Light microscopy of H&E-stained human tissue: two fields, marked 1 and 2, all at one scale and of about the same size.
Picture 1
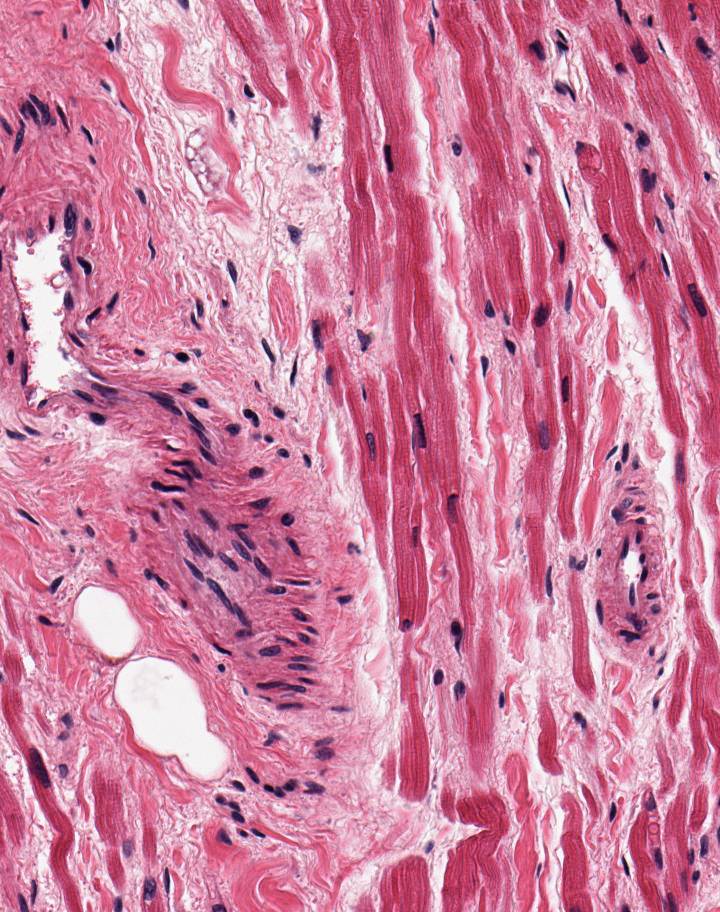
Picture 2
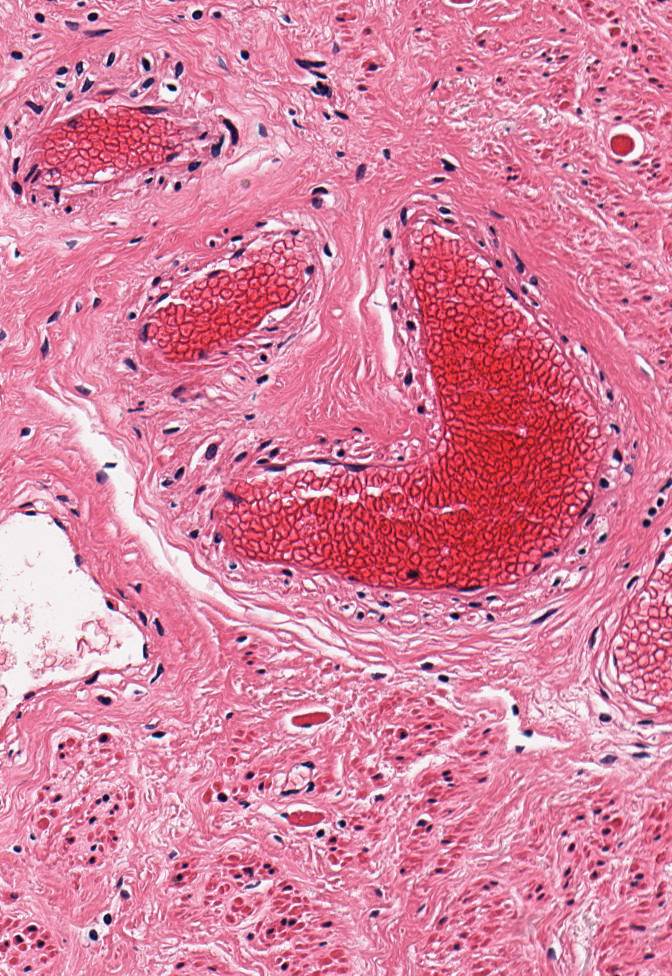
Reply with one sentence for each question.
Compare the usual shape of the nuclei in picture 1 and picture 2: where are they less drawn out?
On the whole the nuclei of picture 2 are rounder than those of picture 1.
